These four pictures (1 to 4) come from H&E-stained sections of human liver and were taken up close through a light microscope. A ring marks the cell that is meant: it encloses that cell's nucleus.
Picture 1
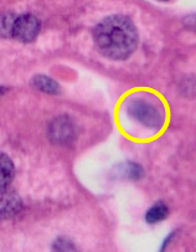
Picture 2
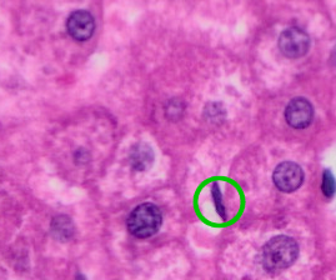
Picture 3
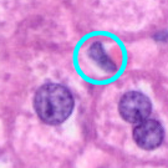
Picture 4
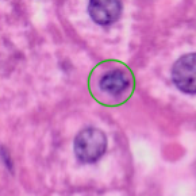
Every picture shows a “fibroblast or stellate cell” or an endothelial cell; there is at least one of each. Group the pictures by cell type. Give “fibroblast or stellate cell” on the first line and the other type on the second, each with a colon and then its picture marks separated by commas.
fibroblast or stellate cell: 4
endothelial cell: 1, 2, 3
